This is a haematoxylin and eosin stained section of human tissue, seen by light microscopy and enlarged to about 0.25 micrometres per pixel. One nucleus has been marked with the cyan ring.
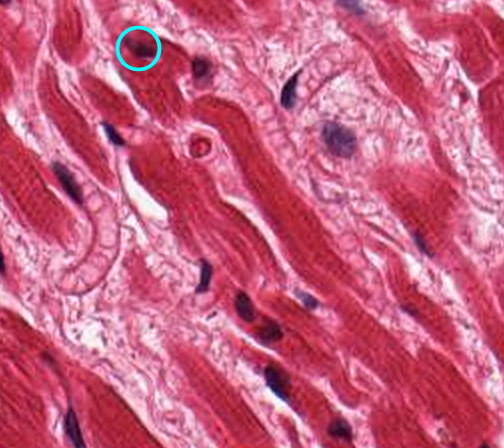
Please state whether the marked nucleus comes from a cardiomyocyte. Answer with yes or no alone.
yes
